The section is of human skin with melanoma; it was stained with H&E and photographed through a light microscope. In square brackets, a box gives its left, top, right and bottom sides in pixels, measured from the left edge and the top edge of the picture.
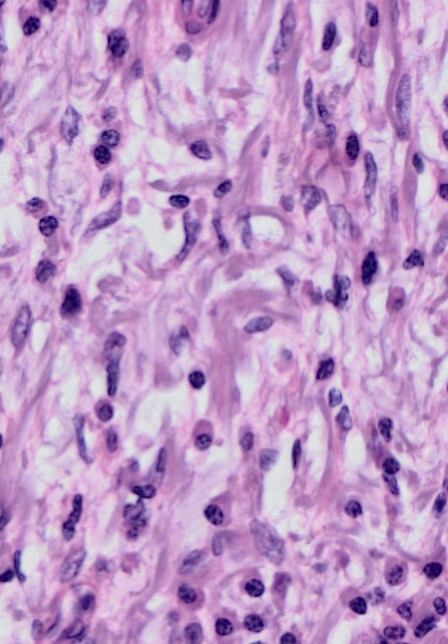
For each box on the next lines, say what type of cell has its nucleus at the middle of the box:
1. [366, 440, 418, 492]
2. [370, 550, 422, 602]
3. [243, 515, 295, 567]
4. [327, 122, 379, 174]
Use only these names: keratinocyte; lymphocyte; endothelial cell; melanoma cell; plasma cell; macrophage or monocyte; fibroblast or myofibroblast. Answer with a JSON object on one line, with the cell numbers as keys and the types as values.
{"1": "plasma cell", "2": "plasma cell", "3": "fibroblast or myofibroblast", "4": "plasma cell"}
